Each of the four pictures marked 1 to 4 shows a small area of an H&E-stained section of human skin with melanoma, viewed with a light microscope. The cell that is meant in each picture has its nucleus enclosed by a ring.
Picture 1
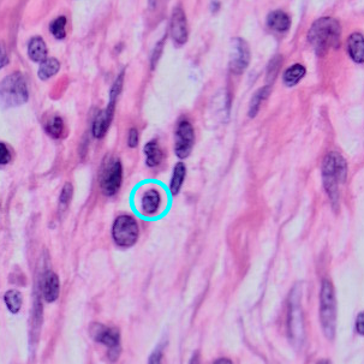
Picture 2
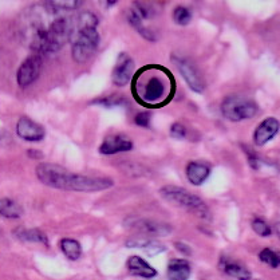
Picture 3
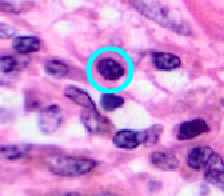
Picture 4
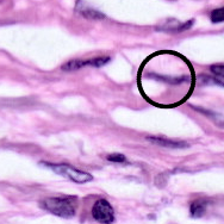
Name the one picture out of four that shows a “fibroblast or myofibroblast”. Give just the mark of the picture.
4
